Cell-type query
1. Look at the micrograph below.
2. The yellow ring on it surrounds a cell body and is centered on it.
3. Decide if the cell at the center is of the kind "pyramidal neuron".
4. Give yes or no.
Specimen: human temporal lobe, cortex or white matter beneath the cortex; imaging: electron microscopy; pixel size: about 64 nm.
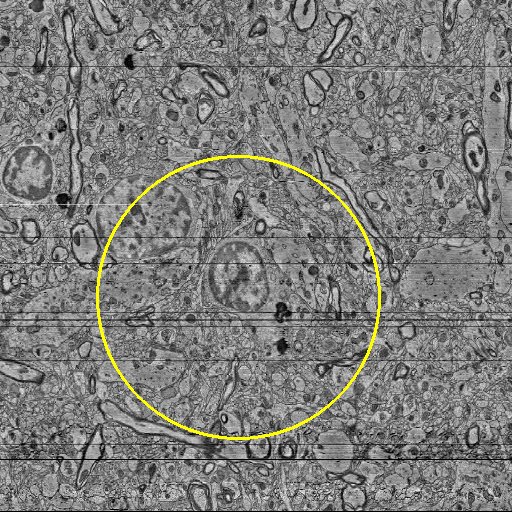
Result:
no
